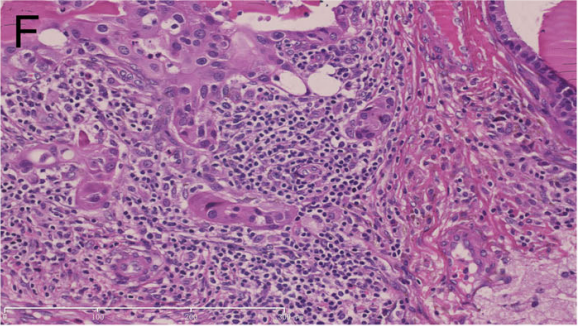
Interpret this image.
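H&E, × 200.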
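Small solid clusters and single groups of epithelial cells with abundant pink cytoplasm and large nuclei lie scattered within stroma. The stroma between them is crowded with small dark round inflammatory cells. Strands of pink fibrous tissue run through the field, and a cyst lined by epithelium with pink secretion is at one edge. These epithelial groups lying within the stroma, outside cyst linings, form the invasive component of solid nests.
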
